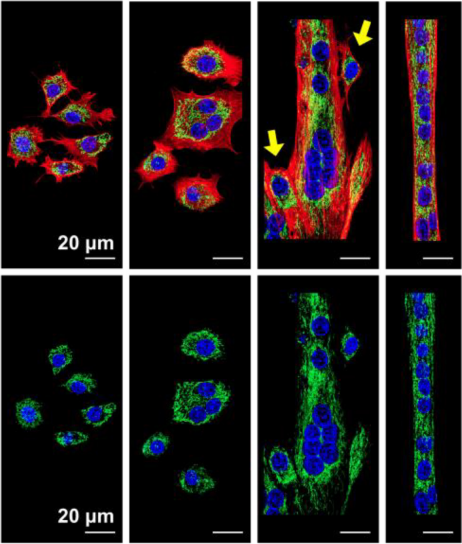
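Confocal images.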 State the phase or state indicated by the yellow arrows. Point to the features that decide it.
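The yellow arrows point to small mononucleate cells lying against the edge of a large multinucleate cell. The large cell next to them holds a cluster of many blue nuclei.
Fusing myoblasts.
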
